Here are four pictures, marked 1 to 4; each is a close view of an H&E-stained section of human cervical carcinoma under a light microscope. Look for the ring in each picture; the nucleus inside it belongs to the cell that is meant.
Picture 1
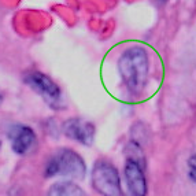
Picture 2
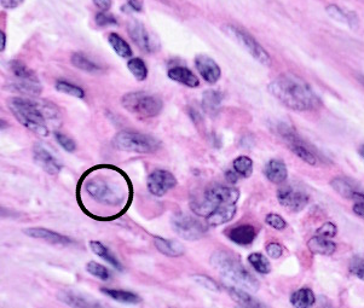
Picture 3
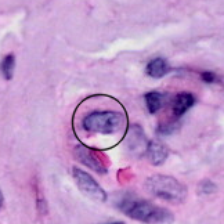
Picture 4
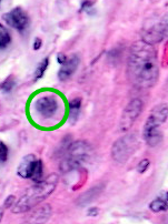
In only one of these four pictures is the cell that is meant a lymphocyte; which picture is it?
4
